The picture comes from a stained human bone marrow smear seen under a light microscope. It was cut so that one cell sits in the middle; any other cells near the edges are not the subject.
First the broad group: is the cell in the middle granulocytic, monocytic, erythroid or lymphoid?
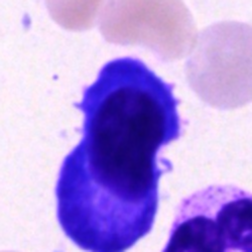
lymphoid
